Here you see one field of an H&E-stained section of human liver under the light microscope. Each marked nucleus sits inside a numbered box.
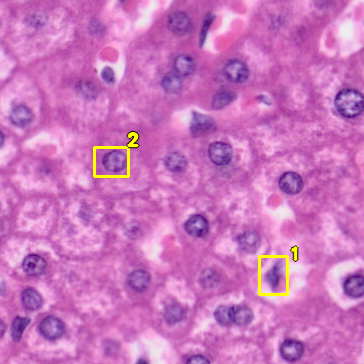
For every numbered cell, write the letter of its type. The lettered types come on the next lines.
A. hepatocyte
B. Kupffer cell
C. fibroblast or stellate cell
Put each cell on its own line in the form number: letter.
1: B
2: A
